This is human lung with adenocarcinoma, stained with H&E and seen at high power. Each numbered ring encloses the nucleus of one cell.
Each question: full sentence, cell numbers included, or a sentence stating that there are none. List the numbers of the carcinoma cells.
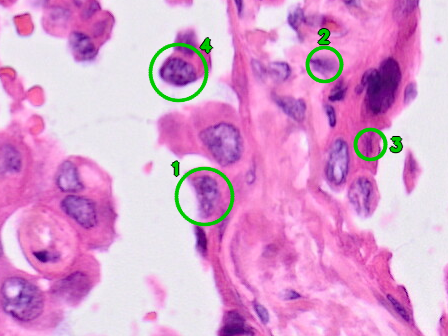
The numbers 1, 3 and 4 mark cells that are carcinoma cells.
